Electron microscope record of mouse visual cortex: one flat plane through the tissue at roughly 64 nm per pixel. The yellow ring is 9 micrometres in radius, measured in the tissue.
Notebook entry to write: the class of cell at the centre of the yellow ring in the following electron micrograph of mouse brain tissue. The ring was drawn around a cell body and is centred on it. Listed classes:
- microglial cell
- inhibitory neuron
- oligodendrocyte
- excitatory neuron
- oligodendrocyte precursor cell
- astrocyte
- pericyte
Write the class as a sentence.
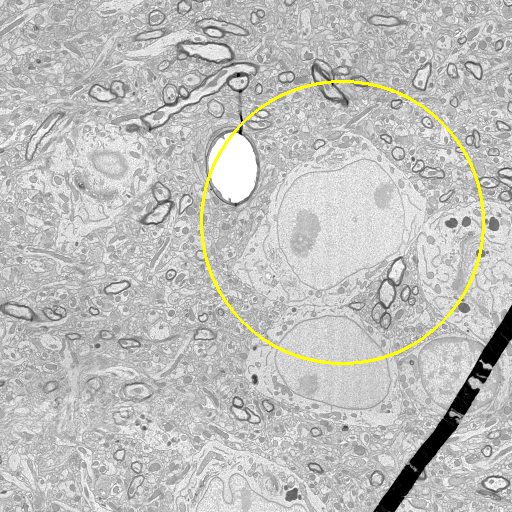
The yellow ring sits on an excitatory neuron.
